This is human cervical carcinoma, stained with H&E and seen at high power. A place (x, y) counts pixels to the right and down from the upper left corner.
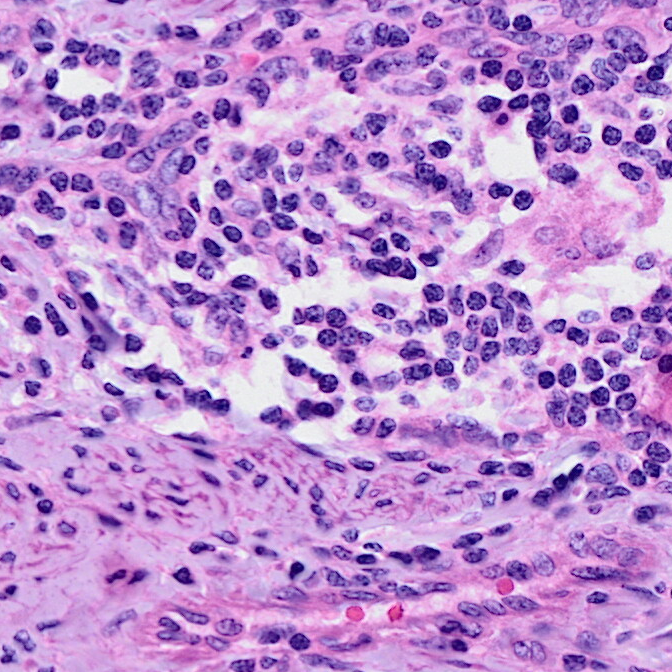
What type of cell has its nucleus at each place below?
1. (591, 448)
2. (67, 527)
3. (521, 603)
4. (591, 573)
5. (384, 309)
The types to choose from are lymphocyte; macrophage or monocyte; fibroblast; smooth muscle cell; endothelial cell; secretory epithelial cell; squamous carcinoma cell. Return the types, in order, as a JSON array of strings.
["lymphocyte", "smooth muscle cell", "endothelial cell", "endothelial cell", "lymphocyte"]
